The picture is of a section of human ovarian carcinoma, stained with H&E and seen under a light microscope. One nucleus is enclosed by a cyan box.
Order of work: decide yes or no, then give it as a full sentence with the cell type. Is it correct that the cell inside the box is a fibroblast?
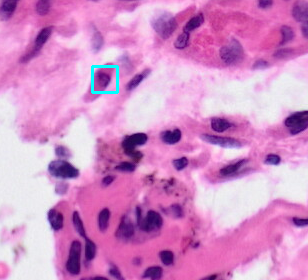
Yes, within this tissue section, the cell inside the box is a fibroblast.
